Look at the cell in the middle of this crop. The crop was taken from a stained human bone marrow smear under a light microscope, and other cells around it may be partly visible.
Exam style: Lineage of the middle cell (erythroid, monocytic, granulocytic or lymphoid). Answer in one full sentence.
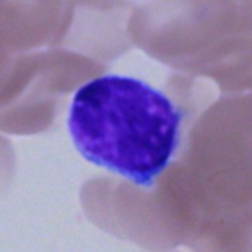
In terms of lineage, the cell at the center is lymphoid.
